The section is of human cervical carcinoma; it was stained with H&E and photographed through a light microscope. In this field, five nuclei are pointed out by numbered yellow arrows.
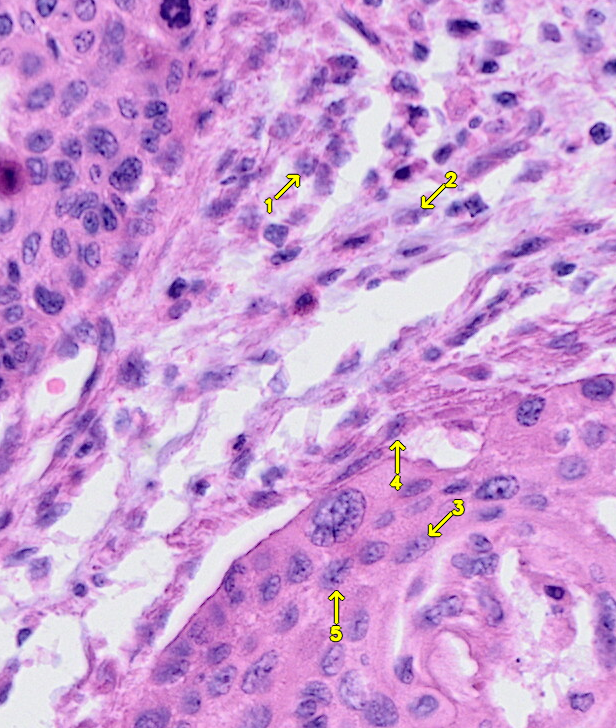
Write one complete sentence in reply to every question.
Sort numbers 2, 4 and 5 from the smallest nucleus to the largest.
Smallest first, the nuclei run 4, 2, 5.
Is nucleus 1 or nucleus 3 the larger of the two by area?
Nucleus 3 covers more area, about 2 times as much as nucleus 1.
